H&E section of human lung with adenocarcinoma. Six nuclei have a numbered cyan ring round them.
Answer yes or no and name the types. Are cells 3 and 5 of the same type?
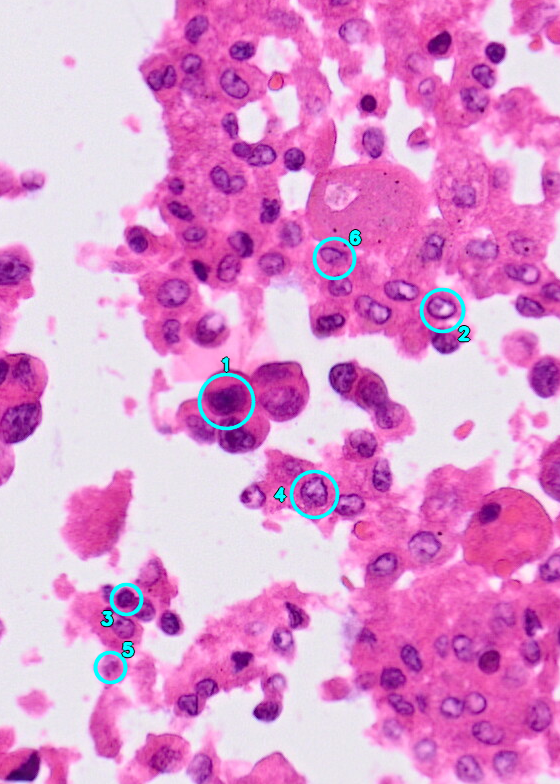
No, cell 3 is a lymphocyte; cell 5, by contrast, is a macrophage or monocyte.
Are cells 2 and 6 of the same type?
Yes, cell 2 is counted among the macrophages or monocytes, as is cell 6.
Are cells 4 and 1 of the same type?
No, cell 4 is a macrophage or monocyte, but cell 1 is a carcinoma cell.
